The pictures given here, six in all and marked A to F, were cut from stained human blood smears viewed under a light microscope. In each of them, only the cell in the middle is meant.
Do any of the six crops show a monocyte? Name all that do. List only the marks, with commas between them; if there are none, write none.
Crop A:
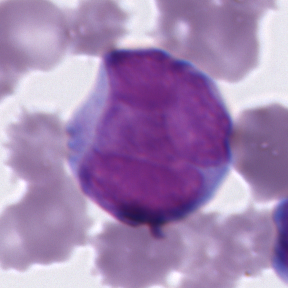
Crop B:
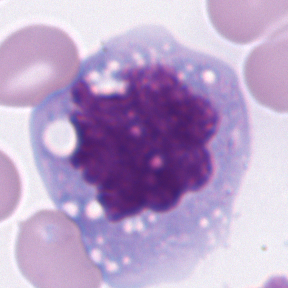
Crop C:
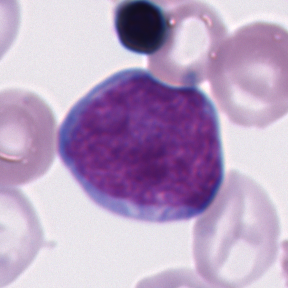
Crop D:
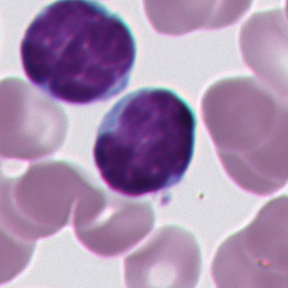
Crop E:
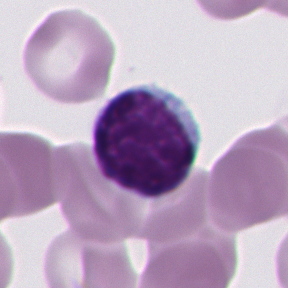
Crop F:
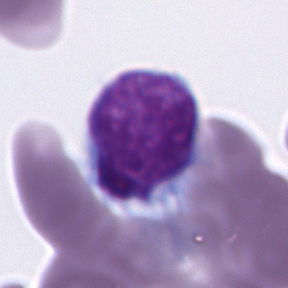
B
